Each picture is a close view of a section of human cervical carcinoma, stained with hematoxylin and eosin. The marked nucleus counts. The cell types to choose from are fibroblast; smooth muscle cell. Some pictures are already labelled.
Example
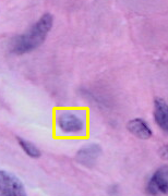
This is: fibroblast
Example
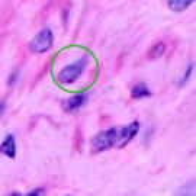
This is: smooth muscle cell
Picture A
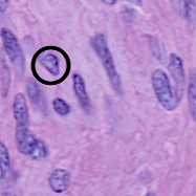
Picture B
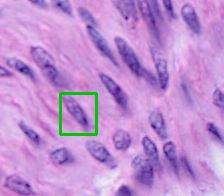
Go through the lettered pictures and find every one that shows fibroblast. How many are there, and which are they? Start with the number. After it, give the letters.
0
